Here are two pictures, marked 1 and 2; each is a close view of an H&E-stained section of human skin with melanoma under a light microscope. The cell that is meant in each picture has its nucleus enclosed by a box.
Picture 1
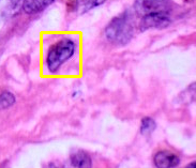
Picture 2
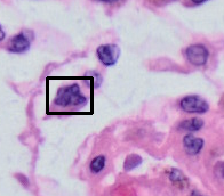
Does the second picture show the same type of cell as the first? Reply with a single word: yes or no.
yes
